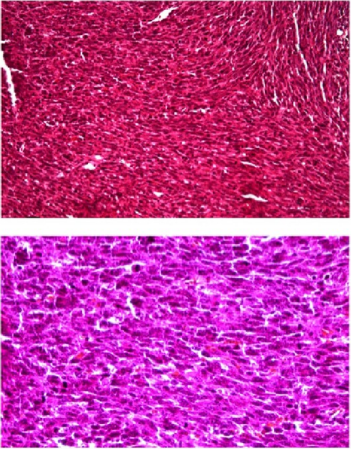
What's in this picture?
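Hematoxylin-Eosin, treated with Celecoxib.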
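These are sections of a solid tumour made of densely packed cells with dark purple, elongated nuclei, shown at two magnifications. The cells form uniform sheets and run in streaming bundles, best seen in the upper image. There are only narrow clefts between the cell groups. No large red patches of blood and no pale areas lacking nuclei are seen. In the lower, higher-magnification image, the crowded nuclei vary somewhat in shape, and the cytoplasm is pink to purple.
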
